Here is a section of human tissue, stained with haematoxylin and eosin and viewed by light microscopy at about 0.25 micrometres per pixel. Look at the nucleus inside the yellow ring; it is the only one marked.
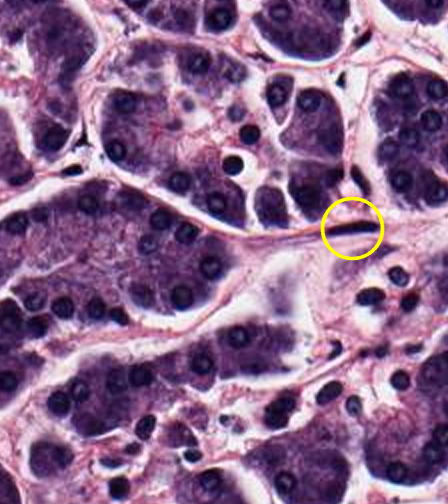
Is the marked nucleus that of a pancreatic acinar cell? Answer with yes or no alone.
no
